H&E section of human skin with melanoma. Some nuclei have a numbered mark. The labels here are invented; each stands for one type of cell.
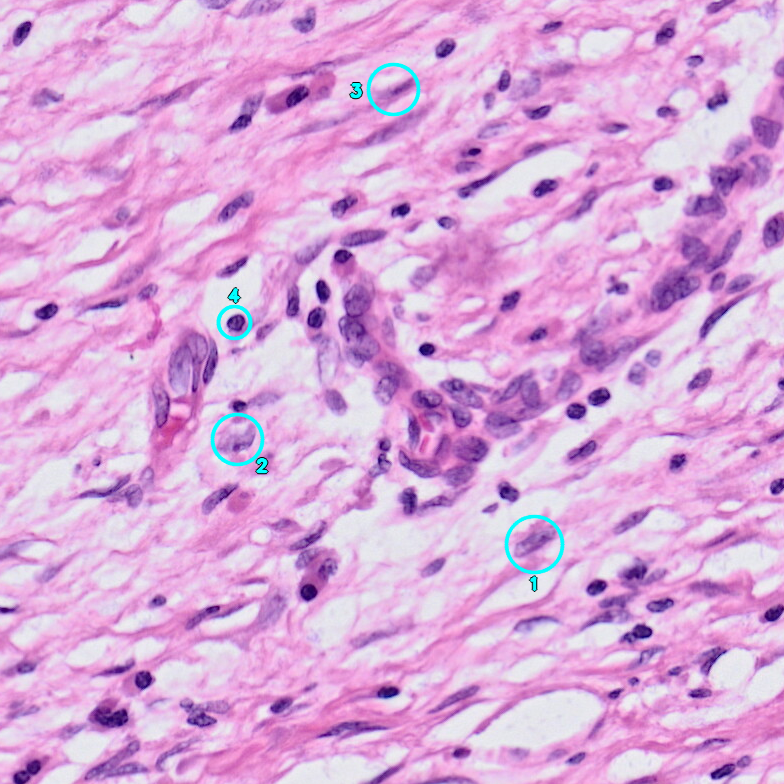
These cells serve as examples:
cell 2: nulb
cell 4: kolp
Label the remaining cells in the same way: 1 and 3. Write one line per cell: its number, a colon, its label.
1: nulb
3: nulb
